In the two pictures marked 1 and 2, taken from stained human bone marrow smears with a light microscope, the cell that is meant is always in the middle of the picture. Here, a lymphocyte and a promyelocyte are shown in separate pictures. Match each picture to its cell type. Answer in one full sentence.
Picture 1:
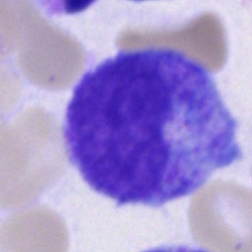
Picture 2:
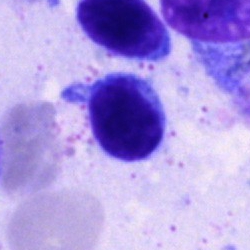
Picture 1 shows a promyelocyte and picture 2 shows a lymphocyte.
